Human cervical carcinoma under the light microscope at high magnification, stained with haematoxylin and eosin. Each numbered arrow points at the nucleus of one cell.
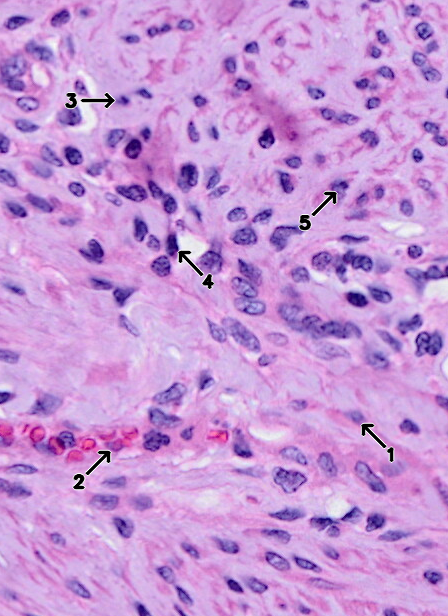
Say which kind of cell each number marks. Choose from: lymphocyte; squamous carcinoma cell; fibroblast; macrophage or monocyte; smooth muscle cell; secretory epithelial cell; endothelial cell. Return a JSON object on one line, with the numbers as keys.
{"1": "smooth muscle cell", "2": "endothelial cell", "3": "fibroblast", "4": "lymphocyte", "5": "smooth muscle cell"}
